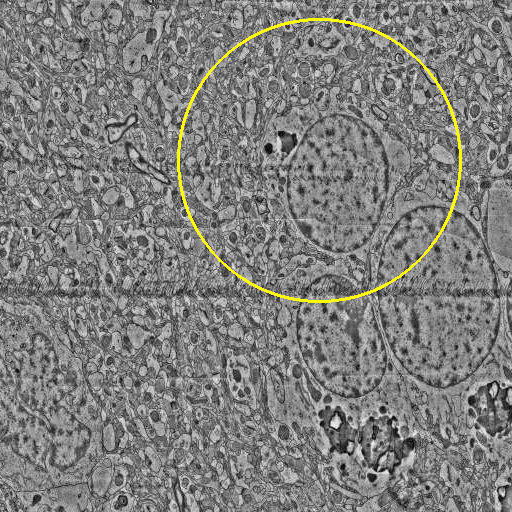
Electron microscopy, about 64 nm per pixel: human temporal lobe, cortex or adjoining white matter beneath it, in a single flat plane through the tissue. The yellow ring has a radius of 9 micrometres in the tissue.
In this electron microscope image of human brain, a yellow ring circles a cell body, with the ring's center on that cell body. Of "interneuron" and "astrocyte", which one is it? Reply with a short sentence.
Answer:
It is an astrocyte at the center of the ring.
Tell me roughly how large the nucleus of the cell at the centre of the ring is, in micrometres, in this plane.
In this plane the nucleus is about 9 micrometres by 7.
